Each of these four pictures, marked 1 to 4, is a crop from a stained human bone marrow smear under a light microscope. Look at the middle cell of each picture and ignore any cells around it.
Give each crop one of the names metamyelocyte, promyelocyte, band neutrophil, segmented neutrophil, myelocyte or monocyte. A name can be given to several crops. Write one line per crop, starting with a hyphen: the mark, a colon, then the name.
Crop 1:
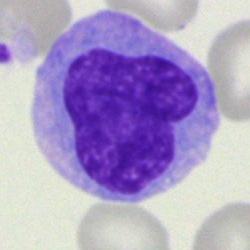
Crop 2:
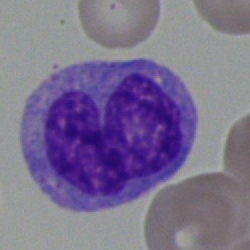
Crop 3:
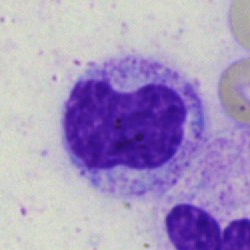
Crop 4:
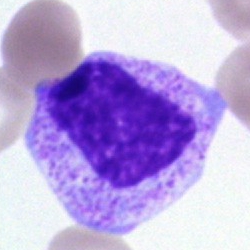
- 1: monocyte
- 2: monocyte
- 3: metamyelocyte
- 4: myelocyte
